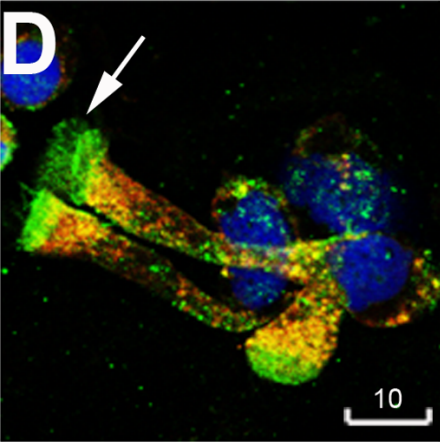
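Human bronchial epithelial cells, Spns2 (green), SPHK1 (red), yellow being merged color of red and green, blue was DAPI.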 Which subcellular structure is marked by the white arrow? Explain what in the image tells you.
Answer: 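Cilia. The arrow points to a tuft of fine green hair-like projections at the broad end of an elongated cell. The projections stand out from the flat apical surface of the cell.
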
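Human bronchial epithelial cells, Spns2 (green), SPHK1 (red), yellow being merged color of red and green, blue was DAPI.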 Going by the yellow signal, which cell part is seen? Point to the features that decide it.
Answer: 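Yellow-orange fills the body of the elongated cells below the apical tuft. The yellow lies around and outside the blue nuclei. The answer: cytoplasm.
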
